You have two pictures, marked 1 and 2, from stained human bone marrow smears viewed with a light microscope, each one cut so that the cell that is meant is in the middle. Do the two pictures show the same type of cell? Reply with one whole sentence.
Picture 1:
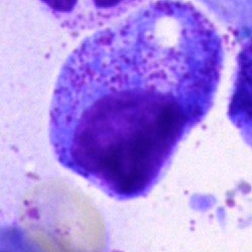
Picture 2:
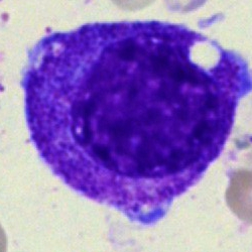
Yes, both cells are promyelocytes.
